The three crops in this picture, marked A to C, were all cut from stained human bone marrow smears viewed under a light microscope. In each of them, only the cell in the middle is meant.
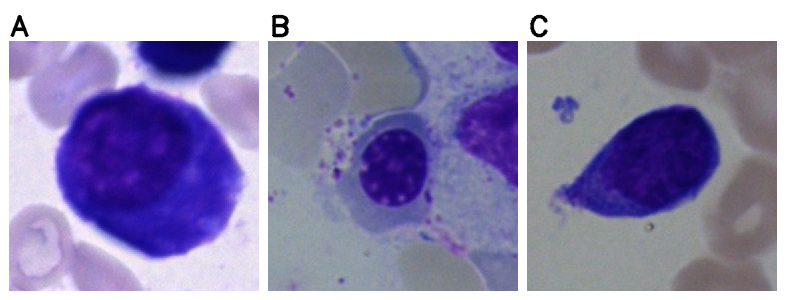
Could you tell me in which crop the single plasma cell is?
A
